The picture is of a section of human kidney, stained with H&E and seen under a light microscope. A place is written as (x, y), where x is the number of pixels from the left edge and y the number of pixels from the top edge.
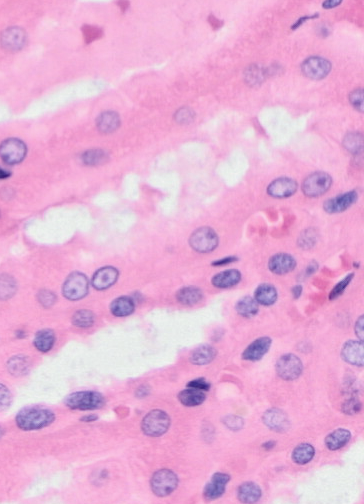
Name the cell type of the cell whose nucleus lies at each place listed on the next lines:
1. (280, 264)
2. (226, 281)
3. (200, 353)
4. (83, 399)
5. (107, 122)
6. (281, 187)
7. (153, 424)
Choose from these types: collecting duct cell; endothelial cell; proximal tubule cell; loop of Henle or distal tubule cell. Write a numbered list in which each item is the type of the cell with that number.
1. loop of Henle or distal tubule cell
2. loop of Henle or distal tubule cell
3. loop of Henle or distal tubule cell
4. loop of Henle or distal tubule cell
5. proximal tubule cell
6. proximal tubule cell
7. proximal tubule cell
